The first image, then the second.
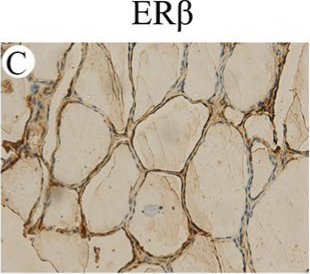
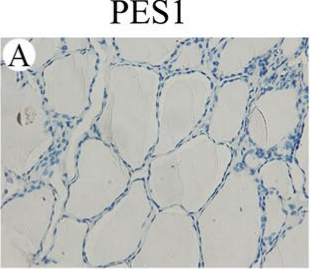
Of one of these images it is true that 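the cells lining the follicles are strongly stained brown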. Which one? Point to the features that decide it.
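The first image. Second image: the follicle linings show only blue nuclei and no brown colour.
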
